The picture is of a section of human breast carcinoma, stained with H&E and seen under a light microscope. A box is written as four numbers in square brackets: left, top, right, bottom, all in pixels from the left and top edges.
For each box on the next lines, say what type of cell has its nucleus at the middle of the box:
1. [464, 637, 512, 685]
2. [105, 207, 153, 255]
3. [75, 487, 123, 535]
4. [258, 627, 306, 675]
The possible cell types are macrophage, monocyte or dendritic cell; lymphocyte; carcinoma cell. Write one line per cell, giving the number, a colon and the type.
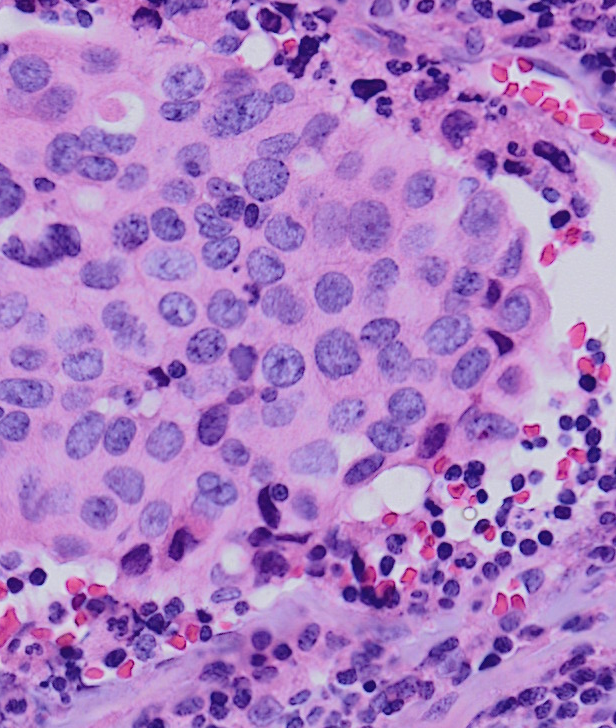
1: lymphocyte
2: carcinoma cell
3: carcinoma cell
4: lymphocyte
